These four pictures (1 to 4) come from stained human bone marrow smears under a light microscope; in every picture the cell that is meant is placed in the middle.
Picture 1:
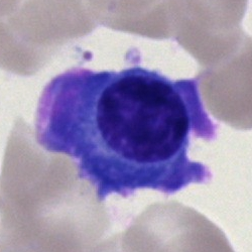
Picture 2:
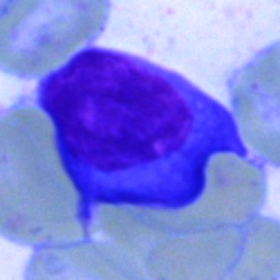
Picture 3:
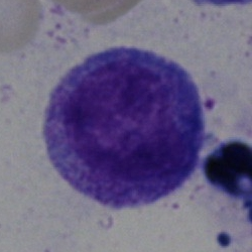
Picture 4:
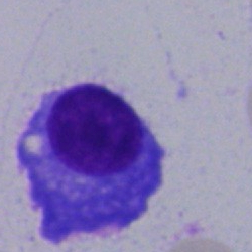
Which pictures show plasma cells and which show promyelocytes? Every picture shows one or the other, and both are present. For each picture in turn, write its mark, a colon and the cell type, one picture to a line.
1: plasma cell
2: plasma cell
3: promyelocyte
4: plasma cell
